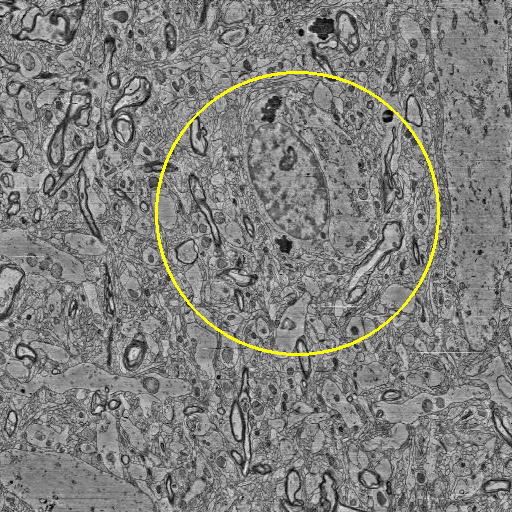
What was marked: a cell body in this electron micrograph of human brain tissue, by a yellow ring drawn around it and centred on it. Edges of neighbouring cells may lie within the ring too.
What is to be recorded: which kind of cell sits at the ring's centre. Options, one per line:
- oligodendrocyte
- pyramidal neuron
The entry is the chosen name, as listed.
oligodendrocyte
